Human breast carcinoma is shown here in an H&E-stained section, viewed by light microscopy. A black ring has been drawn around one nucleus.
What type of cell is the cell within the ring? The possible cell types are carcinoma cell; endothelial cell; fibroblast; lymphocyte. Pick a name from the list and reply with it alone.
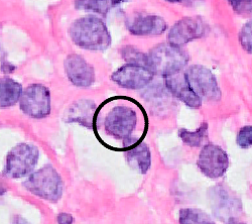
carcinoma cell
